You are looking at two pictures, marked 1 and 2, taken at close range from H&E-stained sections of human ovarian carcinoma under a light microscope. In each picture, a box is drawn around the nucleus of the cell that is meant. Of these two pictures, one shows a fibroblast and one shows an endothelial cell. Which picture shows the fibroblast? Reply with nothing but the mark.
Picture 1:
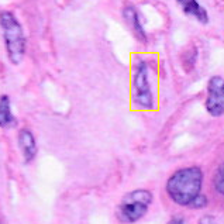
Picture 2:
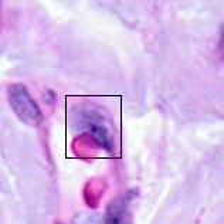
1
